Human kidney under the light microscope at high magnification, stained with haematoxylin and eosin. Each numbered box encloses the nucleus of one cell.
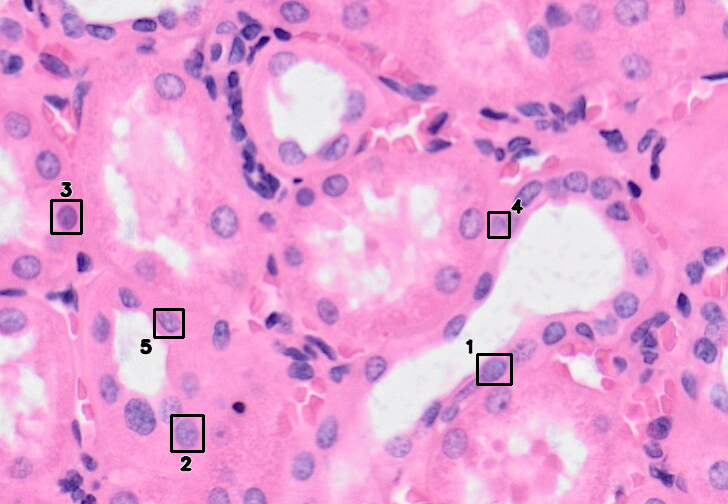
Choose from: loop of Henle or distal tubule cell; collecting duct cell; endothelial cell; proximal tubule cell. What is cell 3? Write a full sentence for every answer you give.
The numbered cell 3 in this field is a proximal tubule cell.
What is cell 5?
Belonging to a loop of Henle or distal tubule cell is the nucleus that carries the number 5.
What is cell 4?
Cell 4 of the marked set is a collecting duct cell.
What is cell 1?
The numbered cell 1 is identified here as a collecting duct cell.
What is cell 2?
The cell identified by number 2 is a loop of Henle or distal tubule cell.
